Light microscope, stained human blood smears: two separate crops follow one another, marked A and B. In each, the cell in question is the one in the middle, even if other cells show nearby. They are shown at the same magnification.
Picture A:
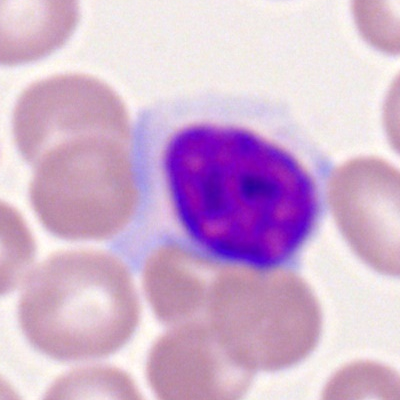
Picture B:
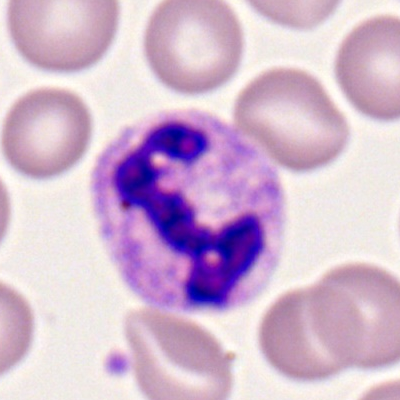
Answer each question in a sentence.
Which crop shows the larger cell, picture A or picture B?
Picture B holds the larger cell; it covers about 1.5 times the area of the cell in picture A.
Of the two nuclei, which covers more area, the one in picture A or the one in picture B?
It is the nucleus in picture A, about 1.5 times as large in area as the one in picture B.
